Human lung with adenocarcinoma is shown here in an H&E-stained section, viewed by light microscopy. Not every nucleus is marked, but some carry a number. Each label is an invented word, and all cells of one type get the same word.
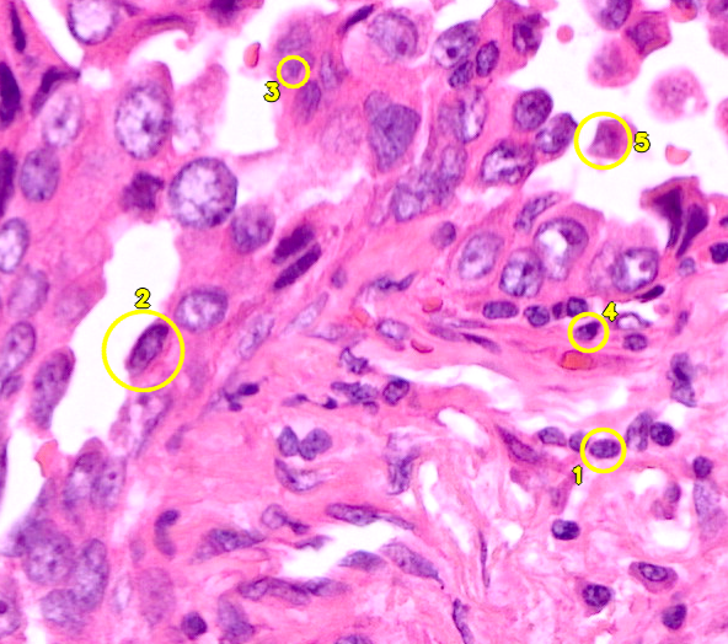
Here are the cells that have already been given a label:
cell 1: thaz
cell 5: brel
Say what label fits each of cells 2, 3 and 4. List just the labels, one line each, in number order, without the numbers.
brel
brel
thaz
